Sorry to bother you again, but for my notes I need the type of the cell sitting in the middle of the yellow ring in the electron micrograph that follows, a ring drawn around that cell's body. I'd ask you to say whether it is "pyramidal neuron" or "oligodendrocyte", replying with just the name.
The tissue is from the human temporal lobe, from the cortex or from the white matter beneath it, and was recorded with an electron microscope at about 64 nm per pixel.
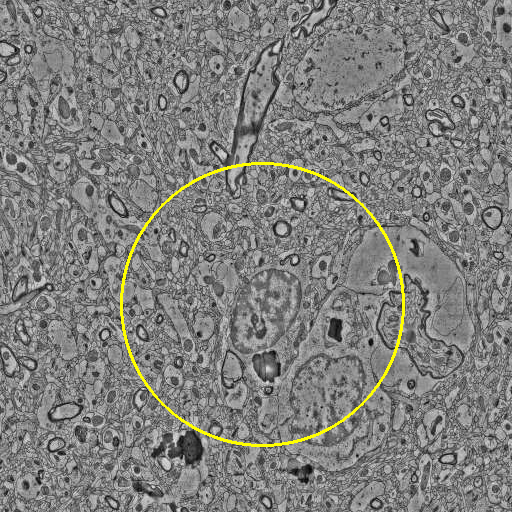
oligodendrocyte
